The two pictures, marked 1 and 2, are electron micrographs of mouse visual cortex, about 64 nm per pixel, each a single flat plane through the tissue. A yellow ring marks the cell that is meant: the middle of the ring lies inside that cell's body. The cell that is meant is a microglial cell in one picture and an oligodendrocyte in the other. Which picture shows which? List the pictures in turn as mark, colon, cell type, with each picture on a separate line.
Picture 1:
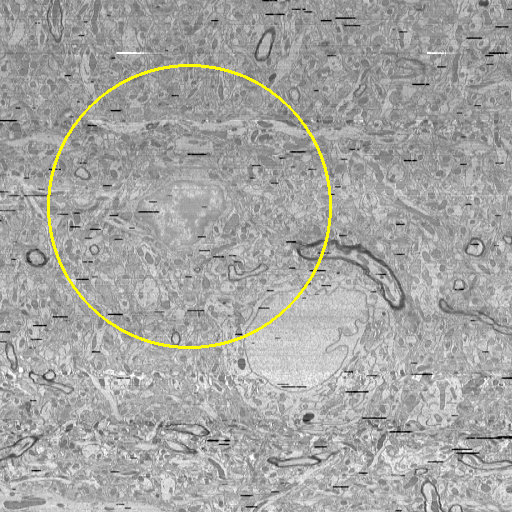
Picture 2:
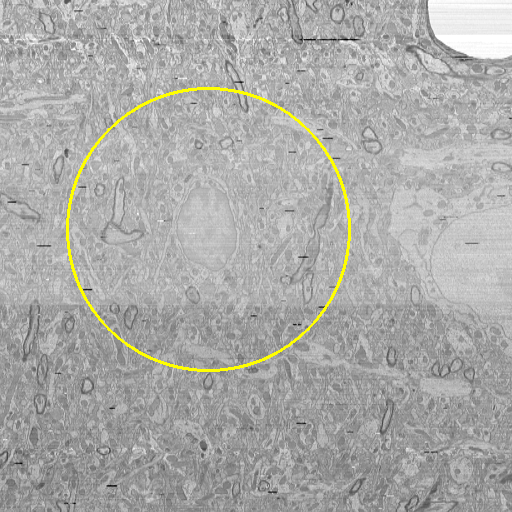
1: oligodendrocyte
2: microglial cell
